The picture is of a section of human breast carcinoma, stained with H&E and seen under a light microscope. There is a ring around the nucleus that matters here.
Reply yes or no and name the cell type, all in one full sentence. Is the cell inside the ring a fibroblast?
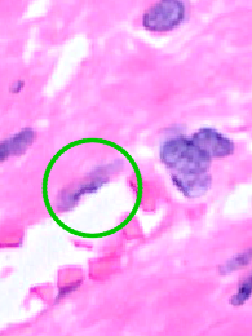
No, the cell inside the ring is not a fibroblast, but is instead an endothelial cell.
